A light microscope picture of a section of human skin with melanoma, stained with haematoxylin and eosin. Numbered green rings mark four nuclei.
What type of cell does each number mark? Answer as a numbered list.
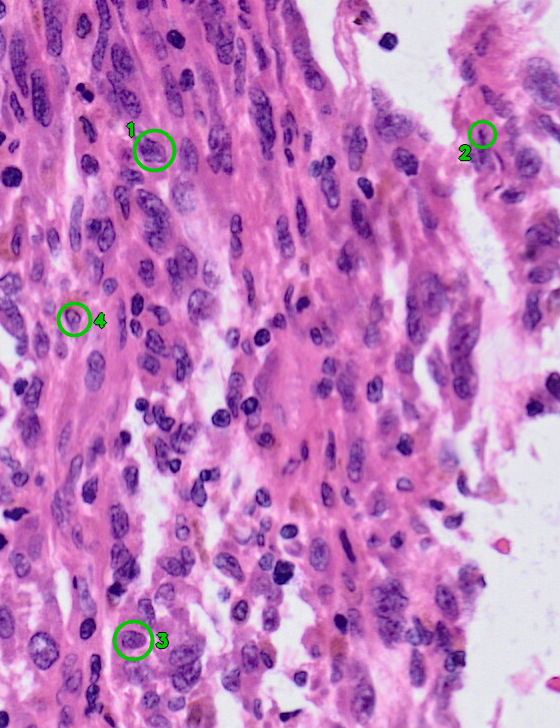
1. melanoma cell
2. melanoma cell
3. melanoma cell
4. macrophage or monocyte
